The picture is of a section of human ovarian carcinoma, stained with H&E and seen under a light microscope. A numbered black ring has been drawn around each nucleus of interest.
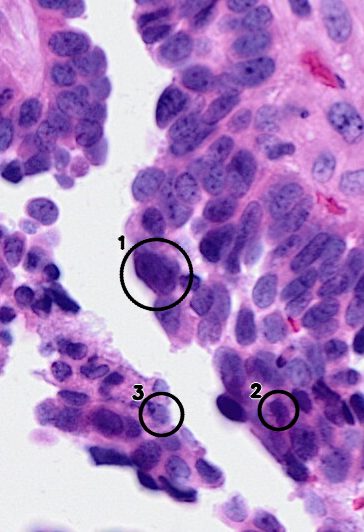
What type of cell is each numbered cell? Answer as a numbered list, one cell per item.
1. carcinoma cell
2. carcinoma cell
3. macrophage or monocyte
